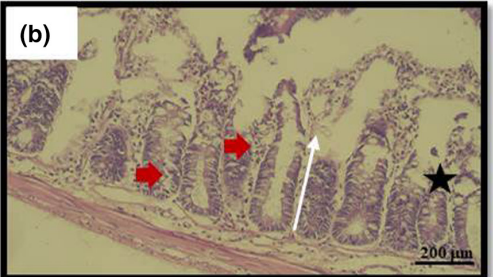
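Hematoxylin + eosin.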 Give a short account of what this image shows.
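Intestinal mucosa with short, irregular villi resting on a thin band of pink muscle at the lower left. The epithelium is ragged, with loosened cells lying in the lumen and pale vacuolated spaces within the lining, signs of mucosal damage.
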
